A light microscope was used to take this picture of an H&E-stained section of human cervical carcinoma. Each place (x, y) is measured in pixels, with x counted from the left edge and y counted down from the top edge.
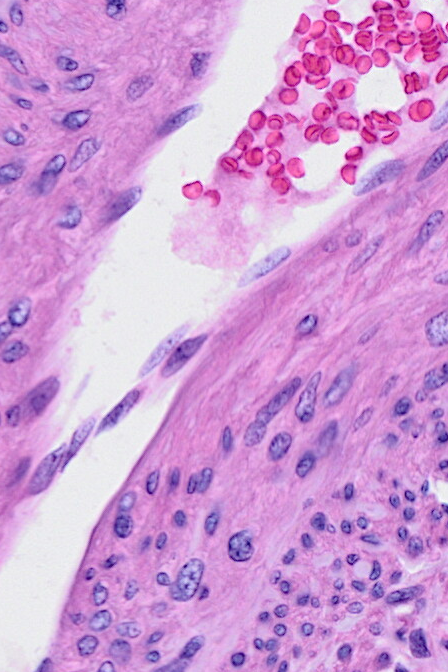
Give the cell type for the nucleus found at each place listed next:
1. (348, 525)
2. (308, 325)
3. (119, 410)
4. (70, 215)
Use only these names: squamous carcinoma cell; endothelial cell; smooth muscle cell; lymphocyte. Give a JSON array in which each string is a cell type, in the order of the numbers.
["smooth muscle cell", "smooth muscle cell", "endothelial cell", "smooth muscle cell"]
